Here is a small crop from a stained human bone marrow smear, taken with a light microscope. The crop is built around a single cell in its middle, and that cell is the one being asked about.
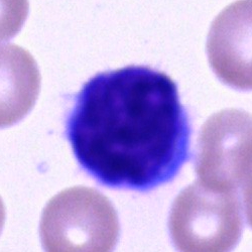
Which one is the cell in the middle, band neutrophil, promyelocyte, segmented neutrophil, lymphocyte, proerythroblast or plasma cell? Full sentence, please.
In the center of this field lies a lymphocyte.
